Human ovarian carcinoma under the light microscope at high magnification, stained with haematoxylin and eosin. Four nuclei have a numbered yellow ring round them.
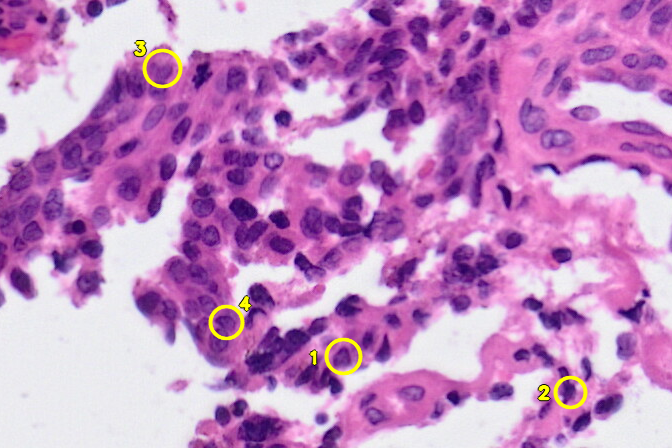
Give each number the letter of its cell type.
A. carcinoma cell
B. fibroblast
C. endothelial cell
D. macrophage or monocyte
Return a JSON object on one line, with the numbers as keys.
{"1": "A", "2": "B", "3": "A", "4": "A"}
